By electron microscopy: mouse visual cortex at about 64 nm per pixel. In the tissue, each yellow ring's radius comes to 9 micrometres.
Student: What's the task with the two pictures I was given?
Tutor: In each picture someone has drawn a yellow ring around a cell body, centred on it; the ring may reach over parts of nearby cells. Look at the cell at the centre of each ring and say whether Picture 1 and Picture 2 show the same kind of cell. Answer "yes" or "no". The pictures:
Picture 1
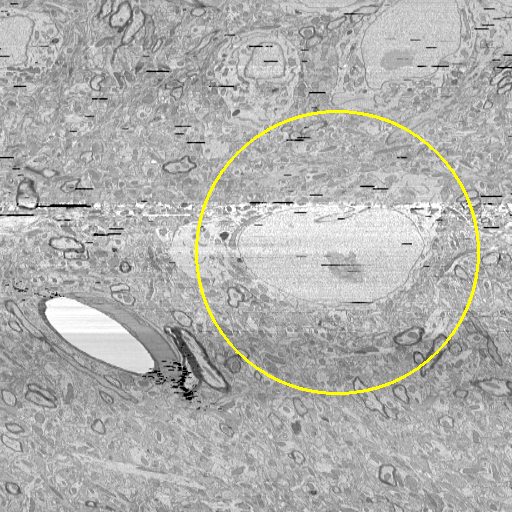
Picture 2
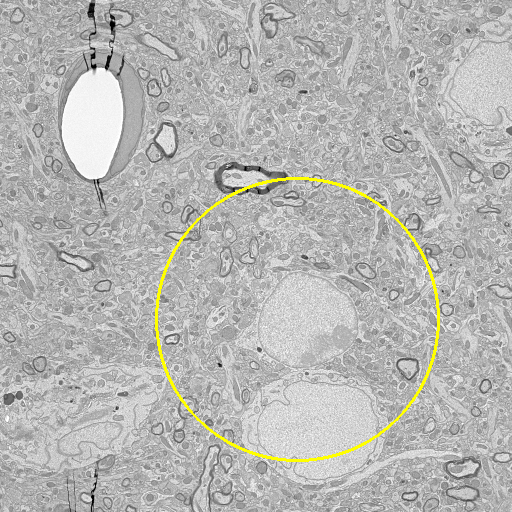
no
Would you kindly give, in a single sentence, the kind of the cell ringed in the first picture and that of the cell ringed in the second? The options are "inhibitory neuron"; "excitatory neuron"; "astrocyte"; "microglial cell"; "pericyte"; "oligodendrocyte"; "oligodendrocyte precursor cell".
The second cell is an astrocyte, and the first cell is an excitatory neuron.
